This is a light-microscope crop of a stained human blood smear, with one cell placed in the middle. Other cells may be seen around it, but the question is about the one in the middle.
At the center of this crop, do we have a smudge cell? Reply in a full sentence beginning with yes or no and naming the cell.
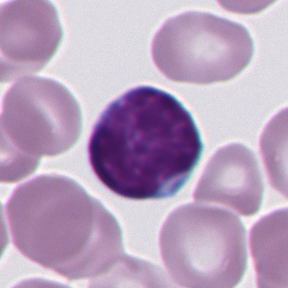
No, the cell at the centre is identified as a typical lymphocyte, not as a smudge cell.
